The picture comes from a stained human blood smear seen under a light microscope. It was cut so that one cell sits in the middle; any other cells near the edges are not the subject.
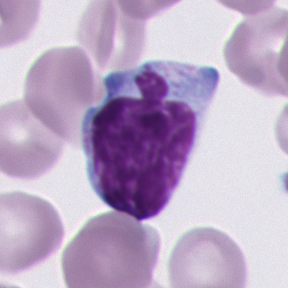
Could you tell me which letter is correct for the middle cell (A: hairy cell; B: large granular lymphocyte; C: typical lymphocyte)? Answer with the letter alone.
C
